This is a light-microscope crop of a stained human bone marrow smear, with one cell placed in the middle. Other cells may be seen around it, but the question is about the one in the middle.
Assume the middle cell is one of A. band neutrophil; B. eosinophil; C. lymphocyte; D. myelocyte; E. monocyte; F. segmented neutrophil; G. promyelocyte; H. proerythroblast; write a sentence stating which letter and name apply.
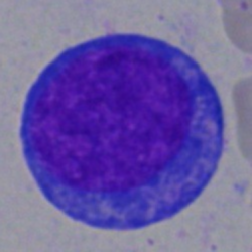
Option H, which names the central cell as a proerythroblast, is correct.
